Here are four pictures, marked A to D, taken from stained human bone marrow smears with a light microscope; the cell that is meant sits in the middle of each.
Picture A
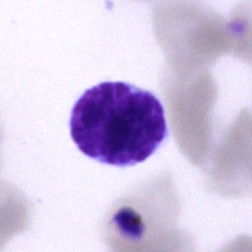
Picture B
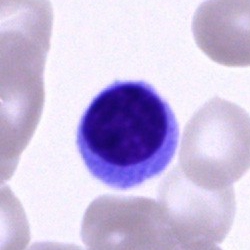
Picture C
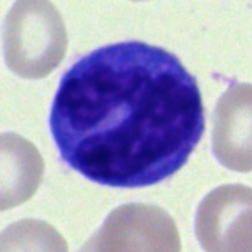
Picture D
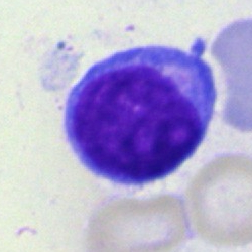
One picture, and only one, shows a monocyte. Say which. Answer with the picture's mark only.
C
